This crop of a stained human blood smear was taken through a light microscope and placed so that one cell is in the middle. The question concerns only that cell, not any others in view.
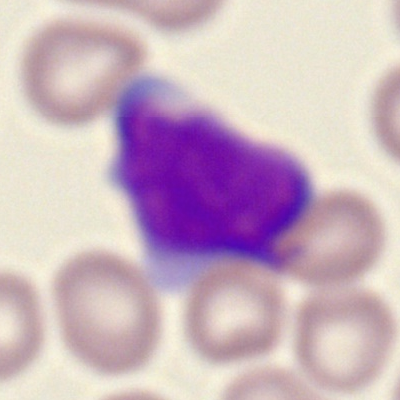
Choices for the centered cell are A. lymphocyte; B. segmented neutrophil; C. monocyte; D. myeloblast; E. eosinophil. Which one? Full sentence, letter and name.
The cell centered in the crop is a myeloblast, making option D the correct pick.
